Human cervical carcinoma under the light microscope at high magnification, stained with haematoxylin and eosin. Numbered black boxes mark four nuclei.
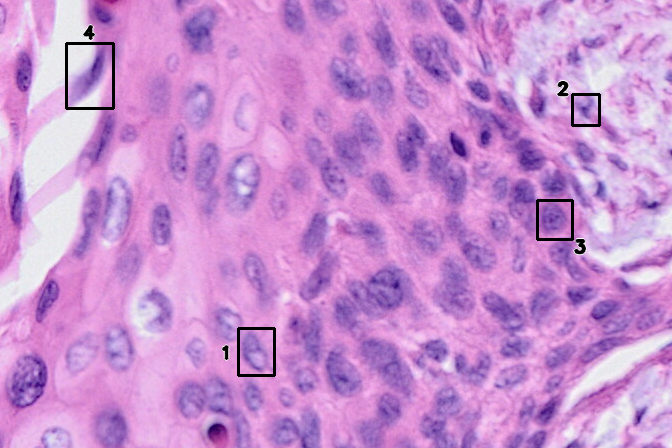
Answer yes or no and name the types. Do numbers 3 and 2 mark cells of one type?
No, that's wrong; cell 3 is a squamous carcinoma cell and cell 2 is a fibroblast.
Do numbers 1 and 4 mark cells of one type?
Yes, both cells, 1 and 4, are squamous carcinoma cells.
